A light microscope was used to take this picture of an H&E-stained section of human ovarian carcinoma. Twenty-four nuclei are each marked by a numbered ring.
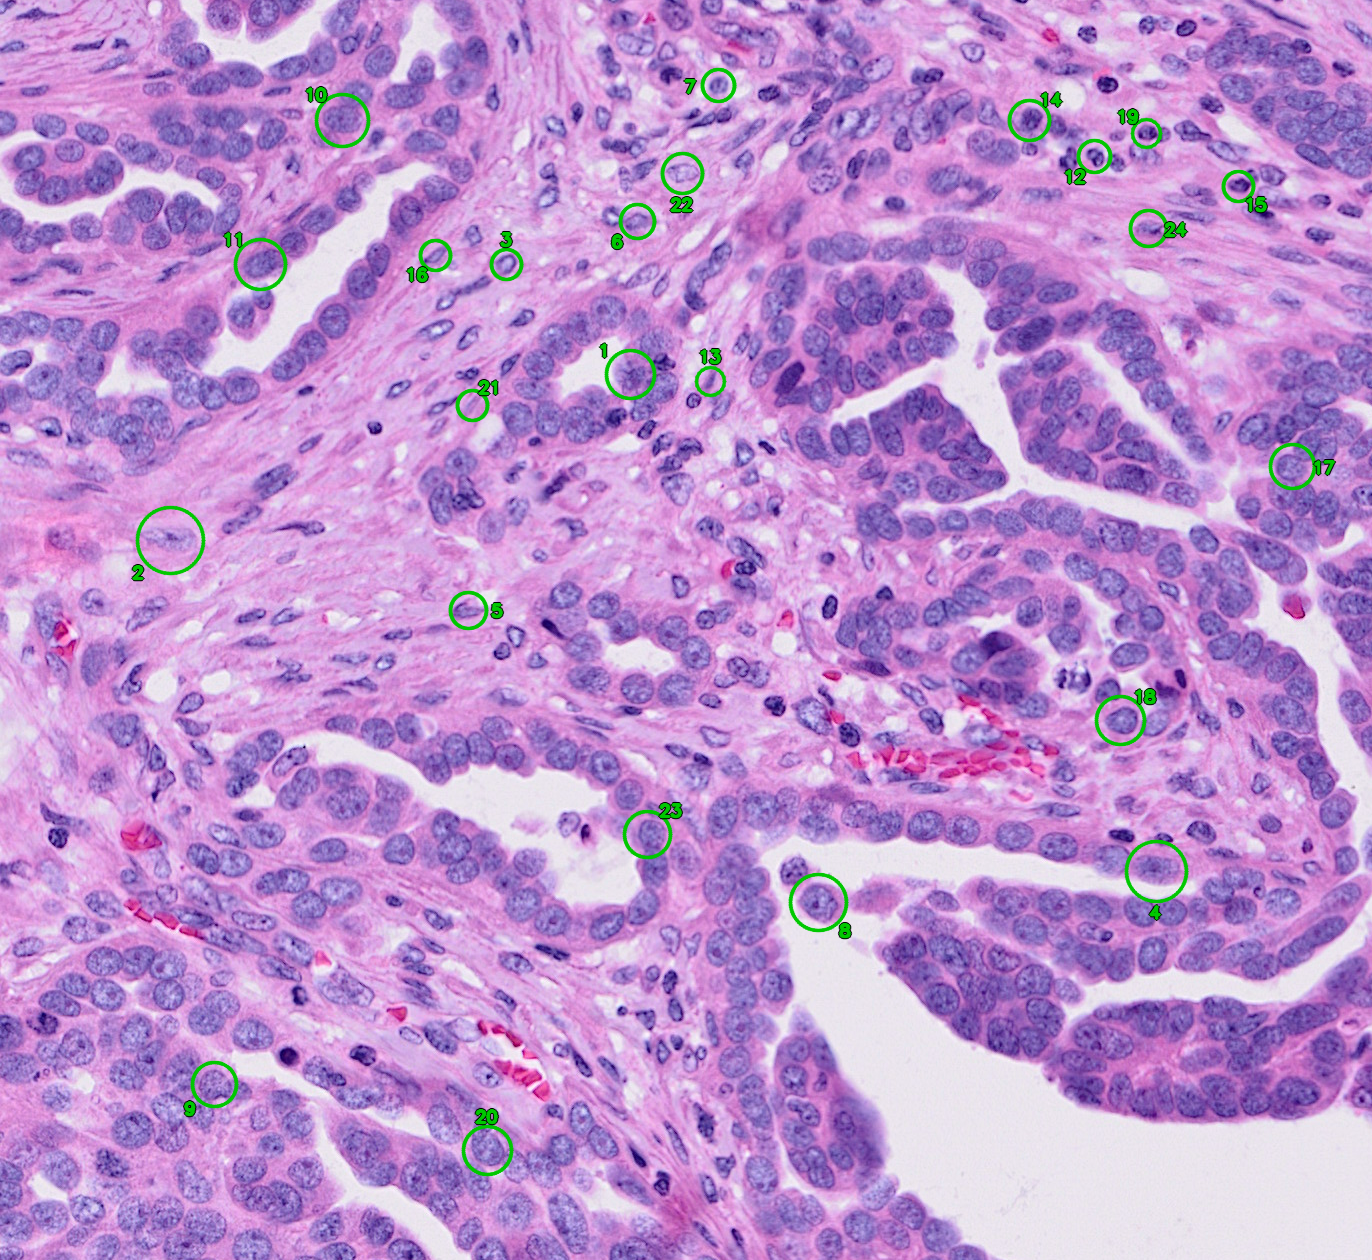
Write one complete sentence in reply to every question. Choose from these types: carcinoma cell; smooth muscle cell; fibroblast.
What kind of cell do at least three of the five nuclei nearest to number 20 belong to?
Of the five nuclei nearest to number 20, most belong to carcinoma cells.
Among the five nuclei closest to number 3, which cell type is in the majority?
Fibroblasts make up most of the five nuclei closest to number 3.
